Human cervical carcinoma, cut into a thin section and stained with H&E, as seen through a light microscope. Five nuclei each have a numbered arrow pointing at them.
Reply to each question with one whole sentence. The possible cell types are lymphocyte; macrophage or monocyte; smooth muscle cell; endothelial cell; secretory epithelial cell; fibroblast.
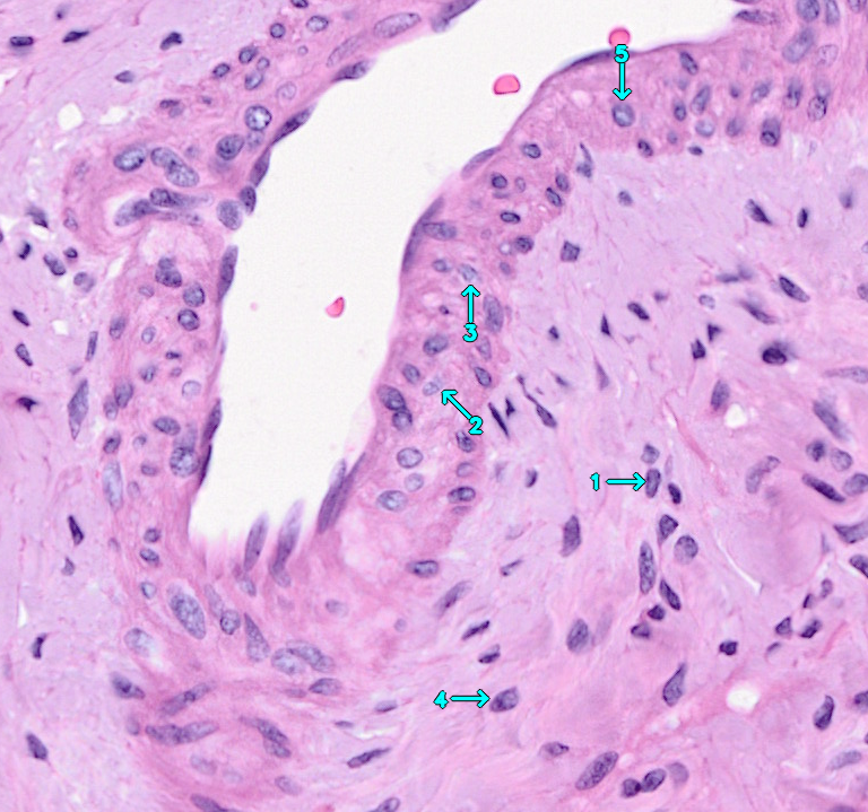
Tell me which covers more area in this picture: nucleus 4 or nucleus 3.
The larger nucleus is 4, at roughly 1.5 times the area of 3.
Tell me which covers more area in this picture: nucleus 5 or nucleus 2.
At about 1.5 times the area of nucleus 2, nucleus 5 is the larger of the two.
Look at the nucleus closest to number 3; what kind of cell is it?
Number 3 lies closest to the nucleus of a smooth muscle cell.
